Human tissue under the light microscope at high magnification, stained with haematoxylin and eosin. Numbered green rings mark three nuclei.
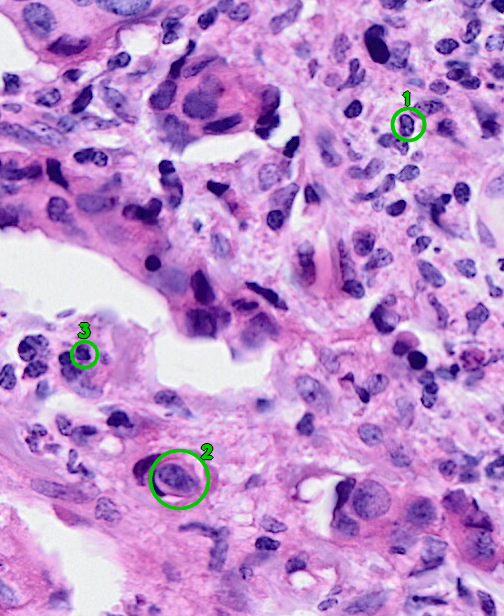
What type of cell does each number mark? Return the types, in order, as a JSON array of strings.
["lymphocyte", "carcinoma cell", "lymphocyte"]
